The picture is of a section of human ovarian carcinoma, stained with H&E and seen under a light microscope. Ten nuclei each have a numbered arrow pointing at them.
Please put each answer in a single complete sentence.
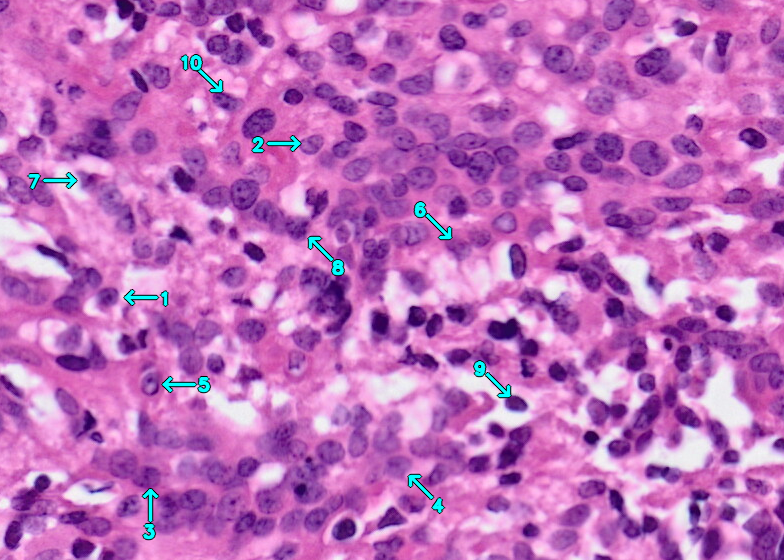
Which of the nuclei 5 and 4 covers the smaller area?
With nucleus 4 about 1.5 times its size, nucleus 5 is the smaller of the two.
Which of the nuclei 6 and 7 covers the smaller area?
The smaller nucleus is 7, and 6 covers roughly 1.5 times its area.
